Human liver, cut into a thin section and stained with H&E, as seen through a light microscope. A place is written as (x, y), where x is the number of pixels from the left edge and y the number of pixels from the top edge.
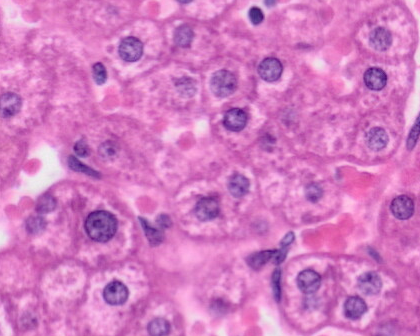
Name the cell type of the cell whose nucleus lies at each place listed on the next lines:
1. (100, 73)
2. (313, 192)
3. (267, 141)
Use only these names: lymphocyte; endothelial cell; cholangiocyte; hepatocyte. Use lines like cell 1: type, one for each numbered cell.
cell 1: lymphocyte
cell 2: hepatocyte
cell 3: hepatocyte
